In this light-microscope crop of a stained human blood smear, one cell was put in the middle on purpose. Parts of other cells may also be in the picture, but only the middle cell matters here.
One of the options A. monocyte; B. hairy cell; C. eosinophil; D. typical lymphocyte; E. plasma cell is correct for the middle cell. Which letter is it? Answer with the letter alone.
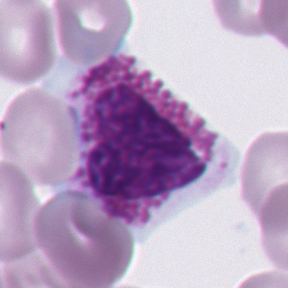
C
